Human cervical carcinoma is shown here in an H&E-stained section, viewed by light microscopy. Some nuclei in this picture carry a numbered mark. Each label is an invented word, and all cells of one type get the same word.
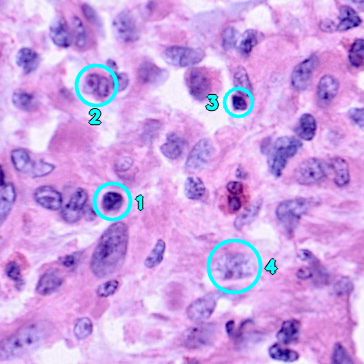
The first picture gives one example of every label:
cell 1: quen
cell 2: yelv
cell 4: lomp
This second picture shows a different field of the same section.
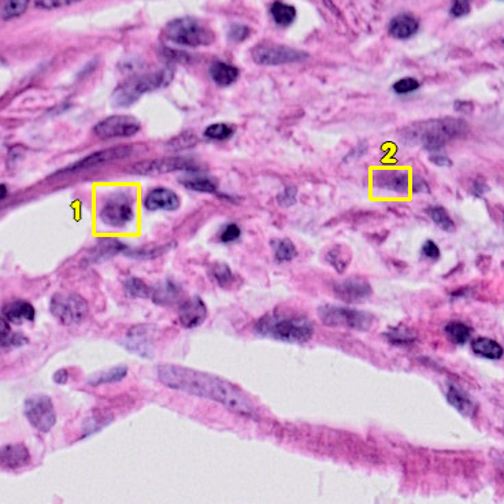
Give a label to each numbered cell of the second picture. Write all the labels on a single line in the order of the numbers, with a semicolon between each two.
yelv; lomp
